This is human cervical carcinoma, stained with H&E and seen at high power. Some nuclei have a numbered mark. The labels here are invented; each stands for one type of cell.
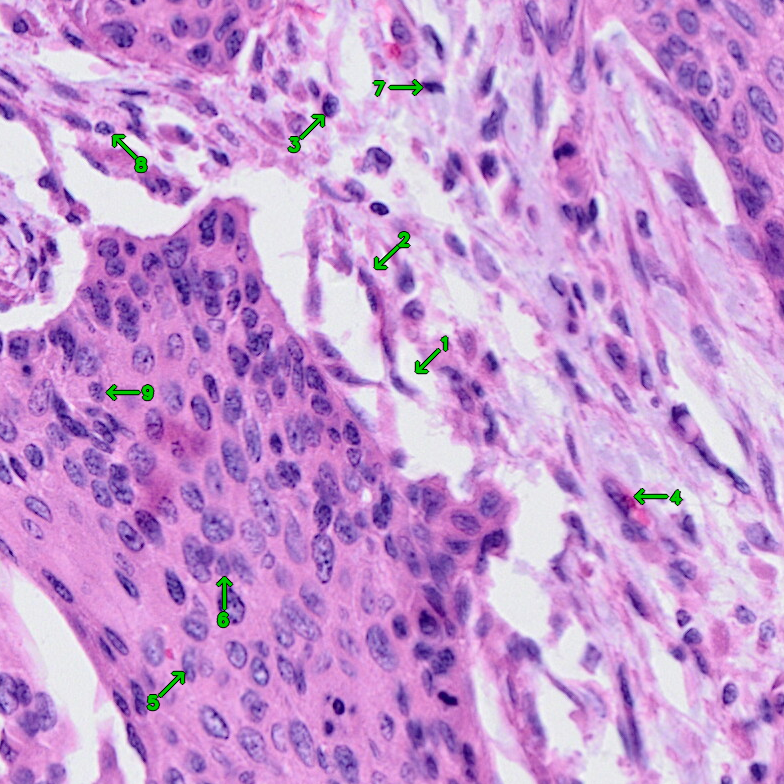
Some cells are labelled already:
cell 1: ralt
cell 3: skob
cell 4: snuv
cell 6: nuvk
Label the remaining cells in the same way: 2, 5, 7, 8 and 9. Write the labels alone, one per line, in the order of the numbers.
ralt
nuvk
skob
skob
nuvk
